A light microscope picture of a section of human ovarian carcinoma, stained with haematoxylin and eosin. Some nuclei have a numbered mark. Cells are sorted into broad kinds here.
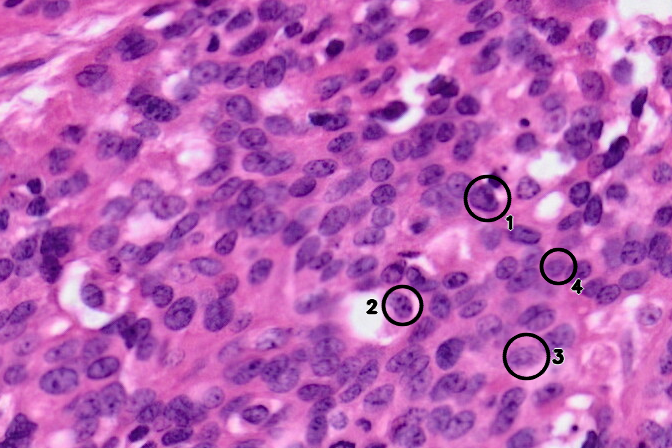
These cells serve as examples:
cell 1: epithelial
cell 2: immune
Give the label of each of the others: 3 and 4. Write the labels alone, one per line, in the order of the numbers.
epithelial
epithelial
